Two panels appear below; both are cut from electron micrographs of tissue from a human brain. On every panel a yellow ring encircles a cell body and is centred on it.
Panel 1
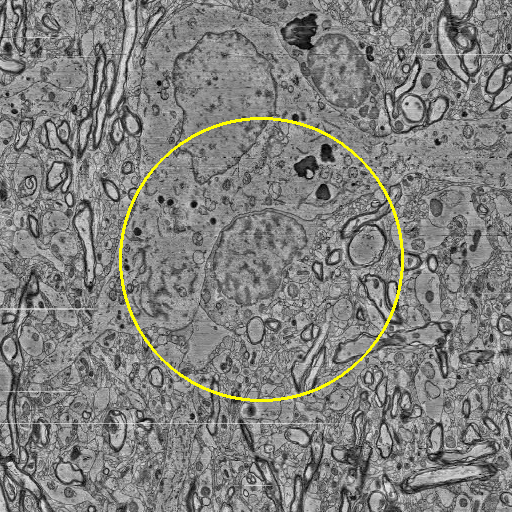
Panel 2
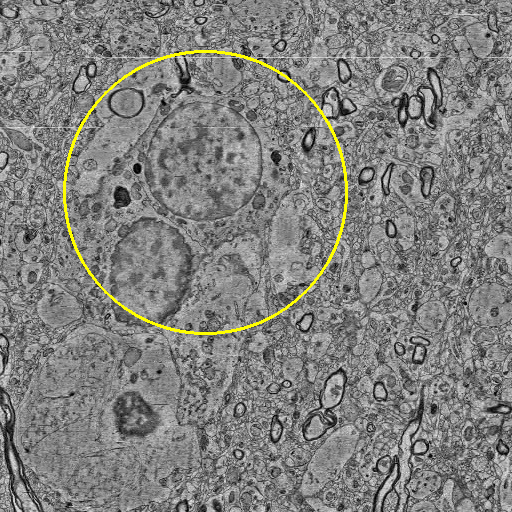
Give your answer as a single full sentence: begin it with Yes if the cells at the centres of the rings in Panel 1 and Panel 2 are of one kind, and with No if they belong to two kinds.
Yes, the cells in the middle of the rings in Panels 1 and 2 are of one kind.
